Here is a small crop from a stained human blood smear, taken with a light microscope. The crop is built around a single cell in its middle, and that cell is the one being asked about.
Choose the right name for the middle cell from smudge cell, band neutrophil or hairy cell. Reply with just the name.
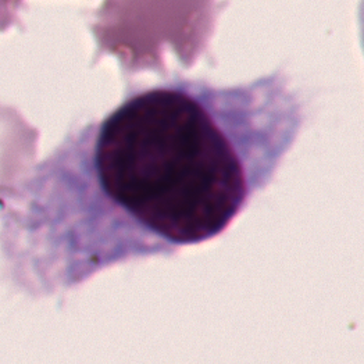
hairy cell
